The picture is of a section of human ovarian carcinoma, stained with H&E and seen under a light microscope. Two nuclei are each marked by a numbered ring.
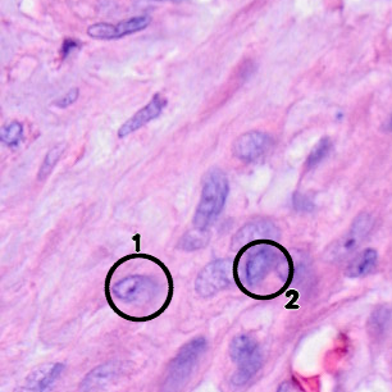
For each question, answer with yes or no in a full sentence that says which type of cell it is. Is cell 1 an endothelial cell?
No, not an endothelial cell: the cell with number 1 is a fibroblast.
